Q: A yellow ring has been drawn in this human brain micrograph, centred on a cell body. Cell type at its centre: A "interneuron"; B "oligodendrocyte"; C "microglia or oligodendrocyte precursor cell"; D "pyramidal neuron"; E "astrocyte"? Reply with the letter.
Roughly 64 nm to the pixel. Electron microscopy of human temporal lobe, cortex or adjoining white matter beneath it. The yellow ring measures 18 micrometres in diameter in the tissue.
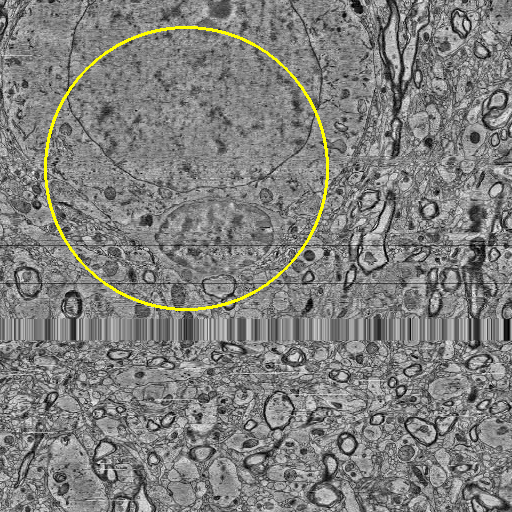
D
